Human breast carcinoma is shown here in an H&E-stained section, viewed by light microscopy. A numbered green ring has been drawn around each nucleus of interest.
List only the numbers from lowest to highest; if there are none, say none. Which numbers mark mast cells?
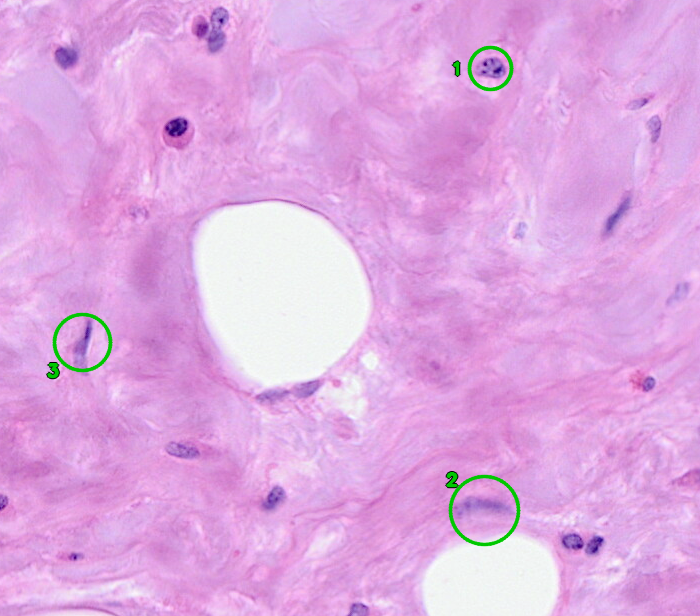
1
